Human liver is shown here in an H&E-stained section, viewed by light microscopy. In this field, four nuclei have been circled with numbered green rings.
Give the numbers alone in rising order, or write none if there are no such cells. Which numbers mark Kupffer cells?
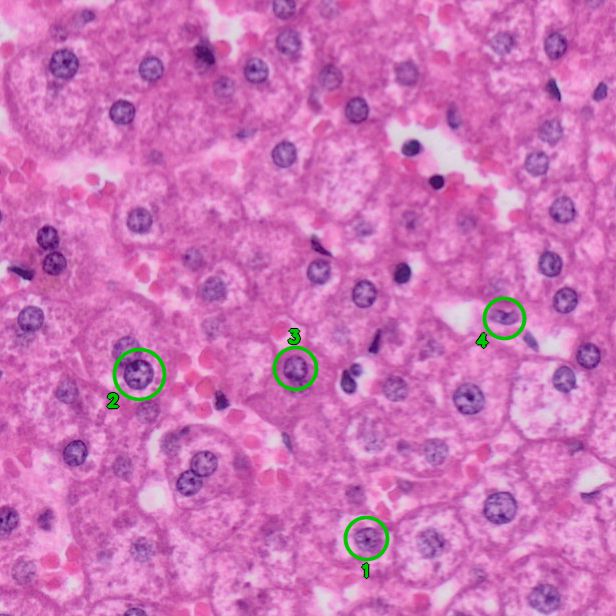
4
